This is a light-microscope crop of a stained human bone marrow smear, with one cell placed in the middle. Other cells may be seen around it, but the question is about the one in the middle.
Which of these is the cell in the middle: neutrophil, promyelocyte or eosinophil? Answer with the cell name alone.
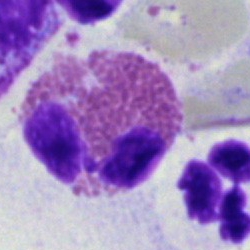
eosinophil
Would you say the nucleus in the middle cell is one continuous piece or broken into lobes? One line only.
Its nucleus is lobed, with at least two separate segments.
